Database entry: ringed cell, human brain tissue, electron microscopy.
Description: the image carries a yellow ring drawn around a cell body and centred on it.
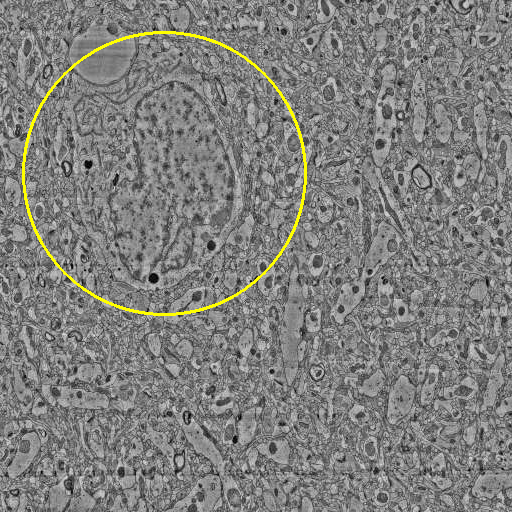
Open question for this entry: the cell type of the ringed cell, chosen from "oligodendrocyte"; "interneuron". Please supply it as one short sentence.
The ringed cell is an interneuron.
